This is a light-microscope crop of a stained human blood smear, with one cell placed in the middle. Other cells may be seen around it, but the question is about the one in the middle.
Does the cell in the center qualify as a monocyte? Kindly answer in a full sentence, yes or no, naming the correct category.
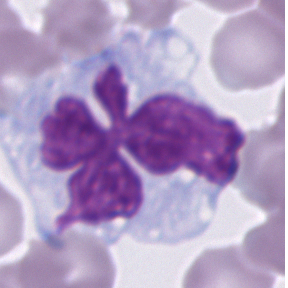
Yes, the cell at the middle is a monocyte.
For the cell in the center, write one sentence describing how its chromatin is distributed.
The chromatin is delicate and fine, lacking coarse clumping entirely.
